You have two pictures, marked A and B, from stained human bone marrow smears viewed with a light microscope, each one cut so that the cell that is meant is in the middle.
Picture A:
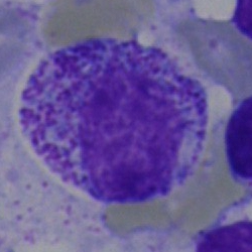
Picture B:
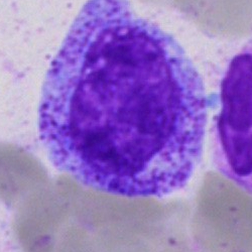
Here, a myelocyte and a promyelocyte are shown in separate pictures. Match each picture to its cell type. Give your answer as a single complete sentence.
It is picture A that shows a promyelocyte, and picture B that shows a myelocyte.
